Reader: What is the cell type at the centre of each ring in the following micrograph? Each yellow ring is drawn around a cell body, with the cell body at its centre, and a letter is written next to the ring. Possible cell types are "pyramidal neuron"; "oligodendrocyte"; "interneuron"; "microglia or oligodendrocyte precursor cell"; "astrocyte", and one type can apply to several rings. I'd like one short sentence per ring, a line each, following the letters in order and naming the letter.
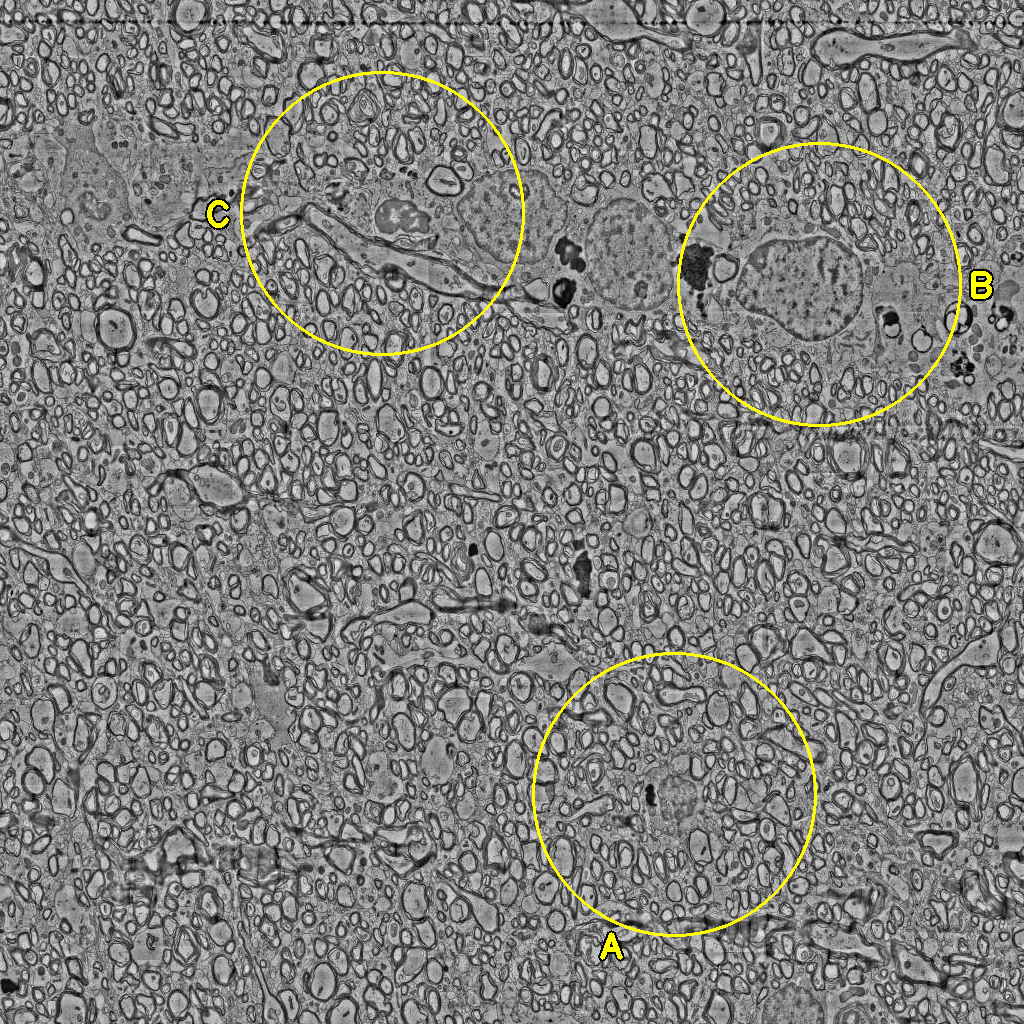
The cell body at the centre of ring A is that of an oligodendrocyte.
The cell body at the centre of ring B is that of a microglial cell or oligodendrocyte precursor cell.
The cell body at the centre of ring C is that of a microglial cell or oligodendrocyte precursor cell.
